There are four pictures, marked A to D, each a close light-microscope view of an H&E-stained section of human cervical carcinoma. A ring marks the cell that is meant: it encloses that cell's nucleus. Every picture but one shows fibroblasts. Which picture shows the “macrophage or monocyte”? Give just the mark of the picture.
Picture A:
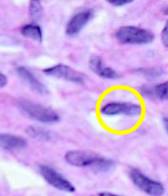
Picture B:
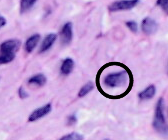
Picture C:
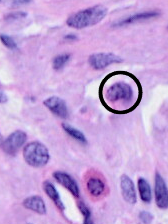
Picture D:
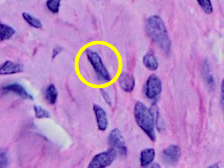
C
